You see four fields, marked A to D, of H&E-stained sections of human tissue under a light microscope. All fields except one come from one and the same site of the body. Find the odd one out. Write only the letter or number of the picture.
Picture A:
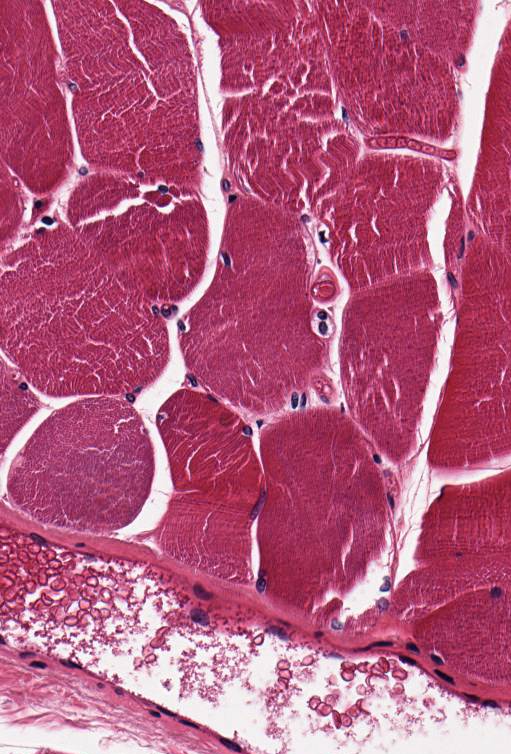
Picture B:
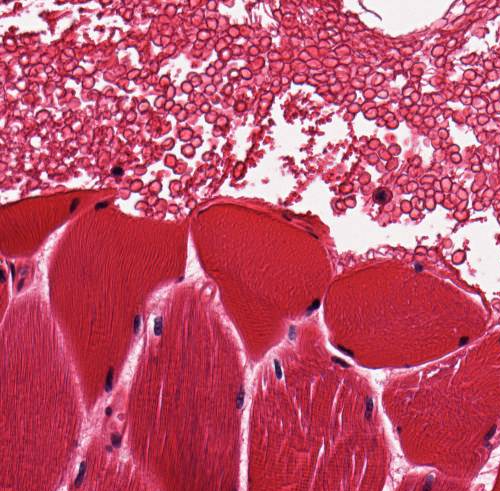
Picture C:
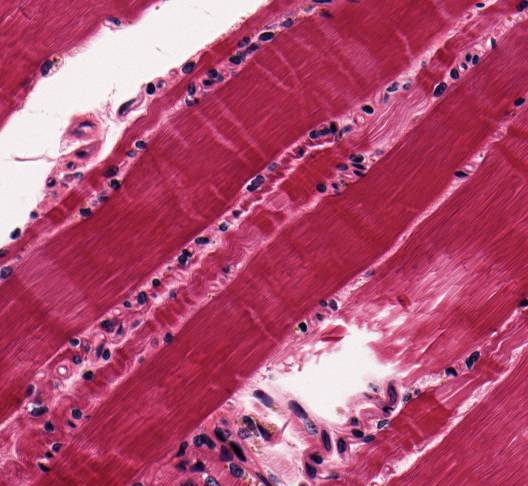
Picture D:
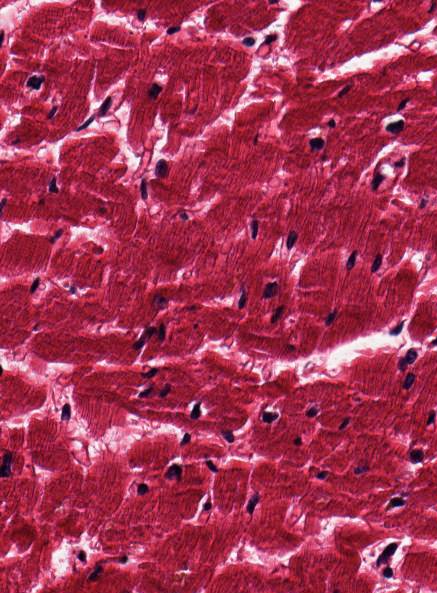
D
